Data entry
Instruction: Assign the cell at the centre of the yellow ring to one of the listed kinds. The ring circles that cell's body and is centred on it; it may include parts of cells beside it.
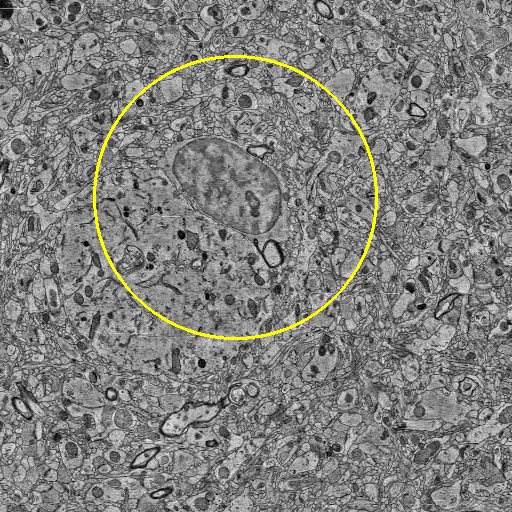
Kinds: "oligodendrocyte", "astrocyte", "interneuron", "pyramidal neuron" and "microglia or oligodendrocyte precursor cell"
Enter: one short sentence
The centre of the ring falls on an oligodendrocyte.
